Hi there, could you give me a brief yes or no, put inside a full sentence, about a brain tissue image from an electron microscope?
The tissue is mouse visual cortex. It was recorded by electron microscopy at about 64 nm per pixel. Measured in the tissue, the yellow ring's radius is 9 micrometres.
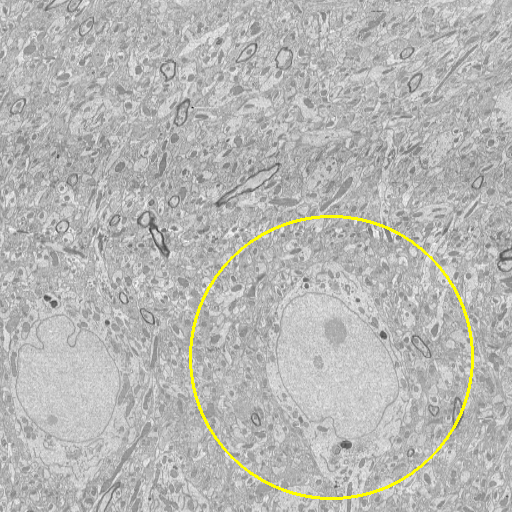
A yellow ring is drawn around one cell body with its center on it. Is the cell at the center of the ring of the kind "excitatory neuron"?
Yes, the cell found at the center of the yellow ring is of that kind.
